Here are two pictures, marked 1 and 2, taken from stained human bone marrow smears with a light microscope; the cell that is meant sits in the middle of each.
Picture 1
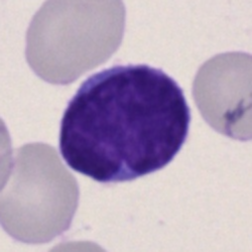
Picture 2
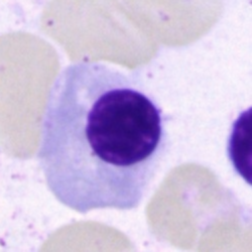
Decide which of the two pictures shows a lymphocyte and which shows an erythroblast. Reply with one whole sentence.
Picture 1 is of a lymphocyte, and picture 2 is of an erythroblast.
